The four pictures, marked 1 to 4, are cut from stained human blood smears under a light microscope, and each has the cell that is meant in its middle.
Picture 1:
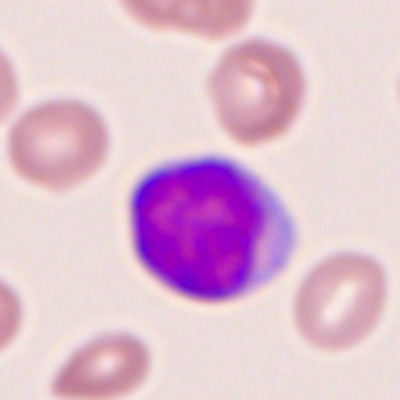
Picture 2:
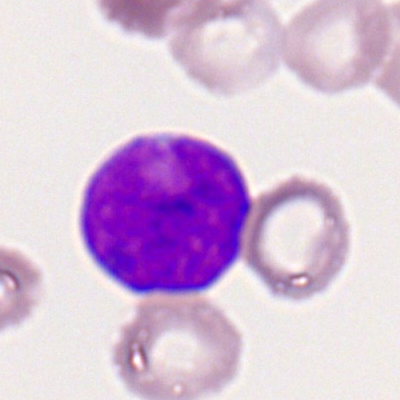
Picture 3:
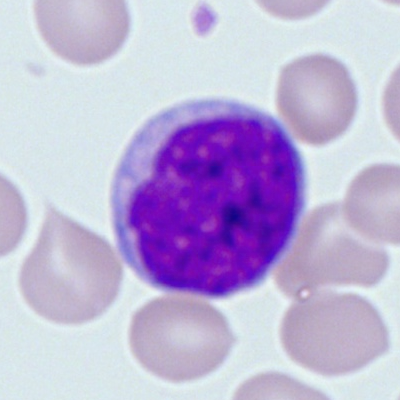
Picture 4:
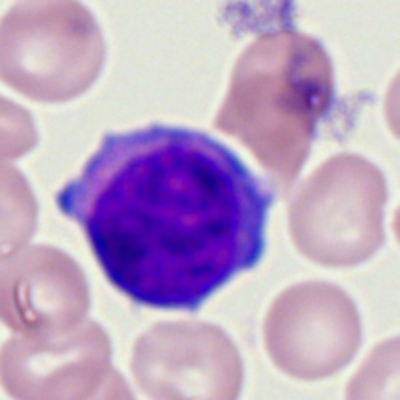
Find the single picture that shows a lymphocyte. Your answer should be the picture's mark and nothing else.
1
